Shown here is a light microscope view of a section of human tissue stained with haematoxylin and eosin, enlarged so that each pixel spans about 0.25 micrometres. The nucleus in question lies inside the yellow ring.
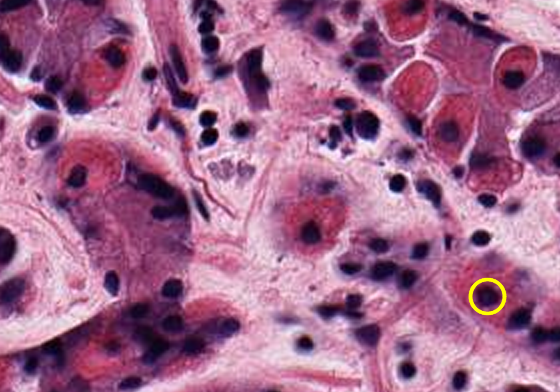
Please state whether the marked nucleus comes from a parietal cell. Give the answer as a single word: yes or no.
yes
